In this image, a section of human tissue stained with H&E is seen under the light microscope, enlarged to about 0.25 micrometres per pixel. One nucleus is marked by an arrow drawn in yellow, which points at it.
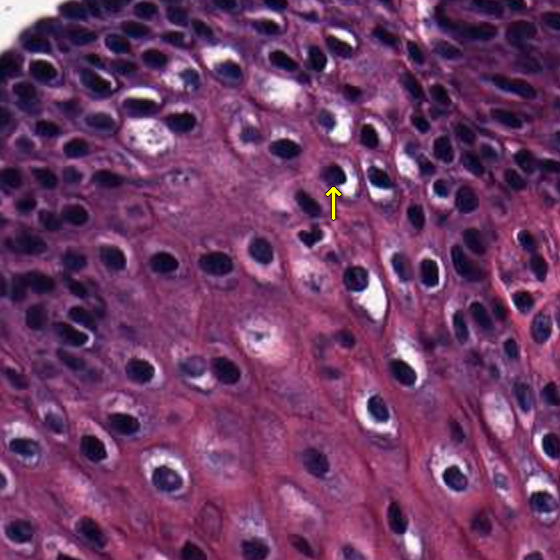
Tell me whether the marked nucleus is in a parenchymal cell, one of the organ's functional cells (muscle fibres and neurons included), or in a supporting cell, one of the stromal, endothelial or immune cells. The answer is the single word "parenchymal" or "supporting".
parenchymal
